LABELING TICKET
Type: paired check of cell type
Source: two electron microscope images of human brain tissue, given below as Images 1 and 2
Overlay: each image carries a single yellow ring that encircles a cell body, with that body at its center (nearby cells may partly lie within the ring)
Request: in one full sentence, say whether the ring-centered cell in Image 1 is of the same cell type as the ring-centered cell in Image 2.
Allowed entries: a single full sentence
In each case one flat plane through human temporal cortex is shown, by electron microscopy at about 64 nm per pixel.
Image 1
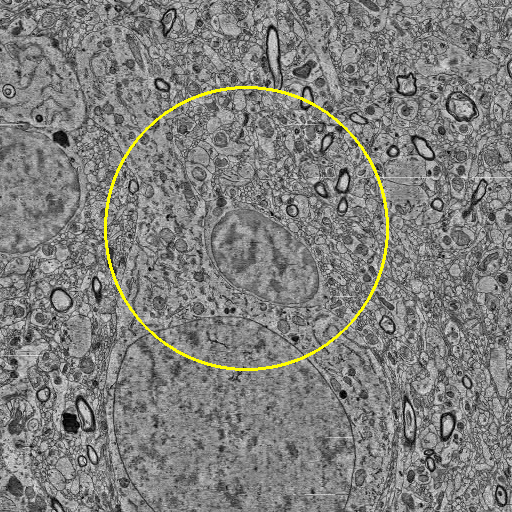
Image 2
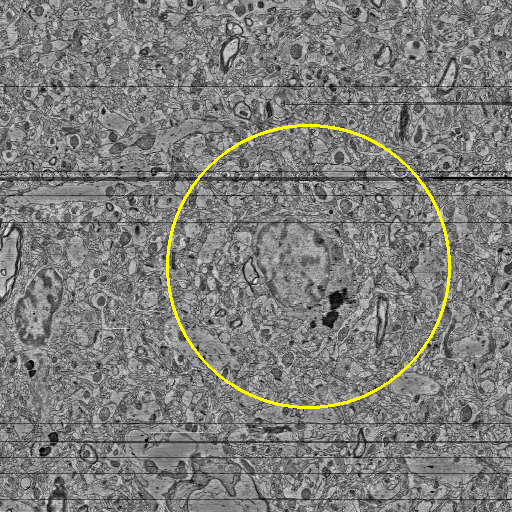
Yes, the cells centered in the rings of Image 1 and Image 2 share one type.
